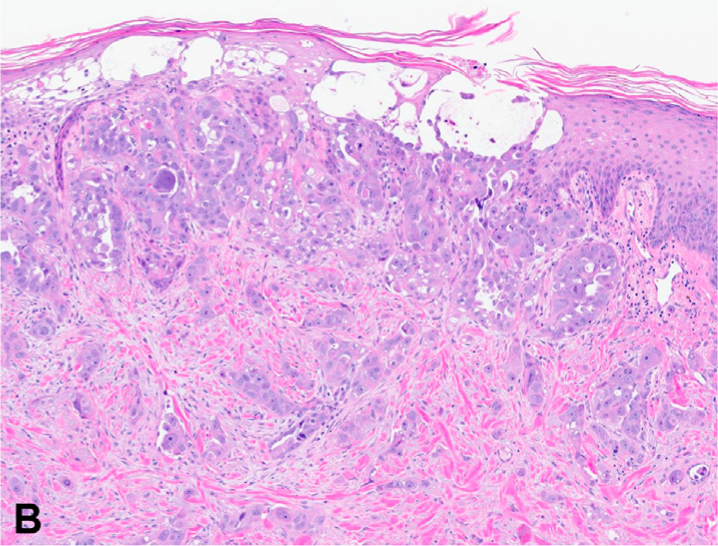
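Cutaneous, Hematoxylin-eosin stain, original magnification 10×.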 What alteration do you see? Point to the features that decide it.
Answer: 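Epitheliotropism. Nests of large atypical cells extend up into the epidermis at the upper left. Normal layered epidermis remains at the upper right beside the involved area.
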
